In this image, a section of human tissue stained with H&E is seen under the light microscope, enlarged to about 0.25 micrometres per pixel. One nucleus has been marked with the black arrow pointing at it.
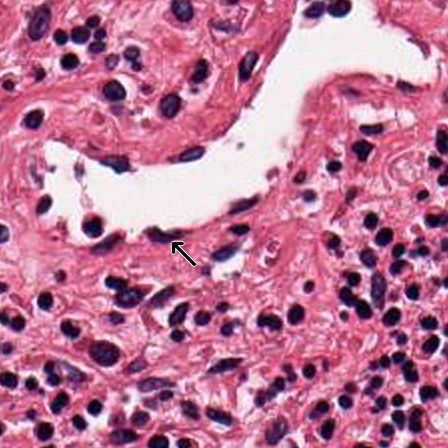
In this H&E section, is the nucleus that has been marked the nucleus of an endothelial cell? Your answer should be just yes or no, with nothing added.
yes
